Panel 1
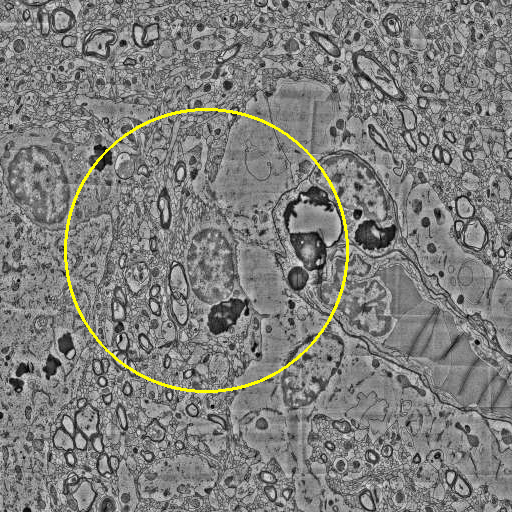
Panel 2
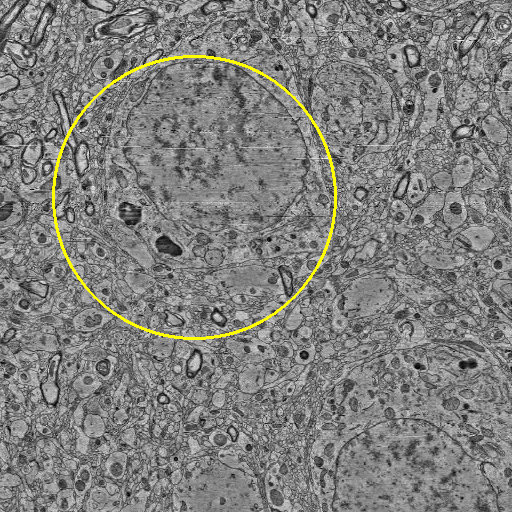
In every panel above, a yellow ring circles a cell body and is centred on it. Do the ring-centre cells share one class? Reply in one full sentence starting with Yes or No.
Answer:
No, the two cells at the ring centres in the panels belong to two classes.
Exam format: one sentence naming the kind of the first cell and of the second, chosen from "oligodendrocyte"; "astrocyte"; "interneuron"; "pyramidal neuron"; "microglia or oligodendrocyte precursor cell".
The first picture's cell is an oligodendrocyte, and the second picture's cell is a pyramidal neuron.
